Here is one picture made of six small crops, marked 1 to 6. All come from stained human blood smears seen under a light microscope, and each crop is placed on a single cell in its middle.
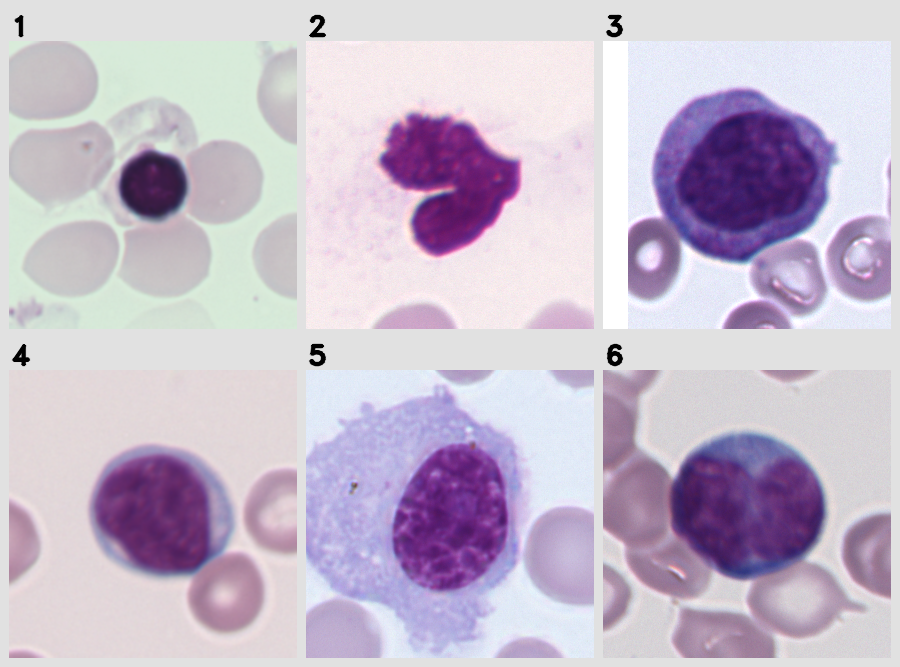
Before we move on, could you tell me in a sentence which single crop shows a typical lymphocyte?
Crop 4 is the one to choose: it shows a typical lymphocyte.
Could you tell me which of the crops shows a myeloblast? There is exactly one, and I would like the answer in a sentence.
Crop 6 shows a myeloblast, and no other crop does.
